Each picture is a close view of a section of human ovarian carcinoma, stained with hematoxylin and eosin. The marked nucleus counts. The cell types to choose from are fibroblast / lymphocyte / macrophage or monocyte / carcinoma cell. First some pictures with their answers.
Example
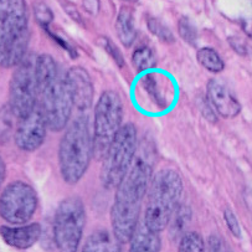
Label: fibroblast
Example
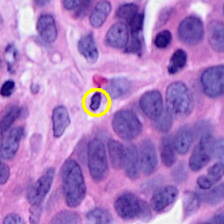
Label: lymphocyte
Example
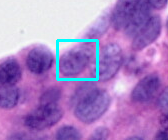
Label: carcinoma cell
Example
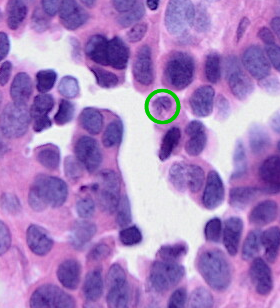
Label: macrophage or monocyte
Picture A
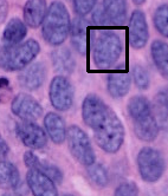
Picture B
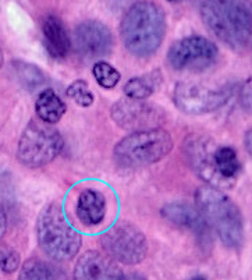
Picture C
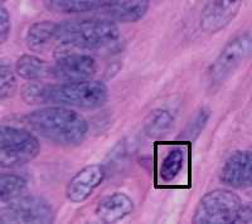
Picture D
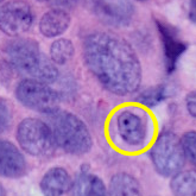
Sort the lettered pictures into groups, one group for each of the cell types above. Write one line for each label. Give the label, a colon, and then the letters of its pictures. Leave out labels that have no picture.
lymphocyte: B, C
macrophage or monocyte: D
carcinoma cell: A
